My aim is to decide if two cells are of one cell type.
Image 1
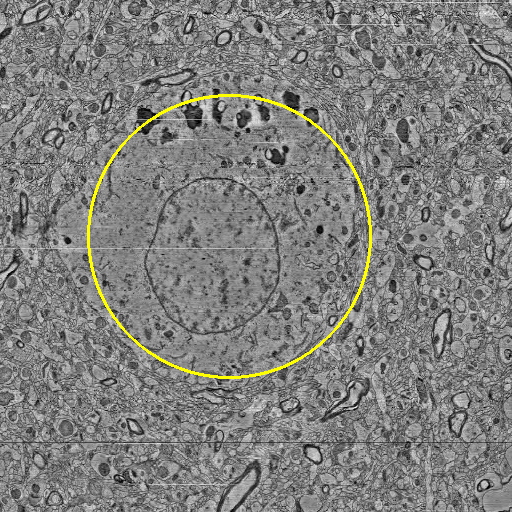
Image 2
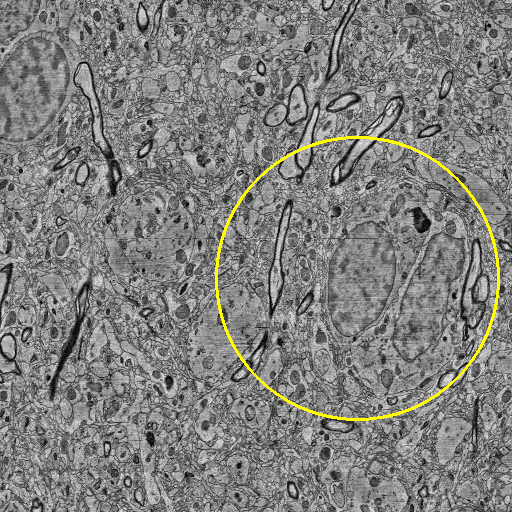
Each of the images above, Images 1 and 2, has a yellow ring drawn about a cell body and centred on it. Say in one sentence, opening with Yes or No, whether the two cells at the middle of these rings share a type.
No, in Images 1 and 2 the cells at the middle of the rings fall into two types.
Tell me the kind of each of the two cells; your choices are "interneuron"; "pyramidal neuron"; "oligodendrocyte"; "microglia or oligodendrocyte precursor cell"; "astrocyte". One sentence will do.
The ringed cell is a pyramidal neuron in the first picture and an oligodendrocyte in the second picture.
